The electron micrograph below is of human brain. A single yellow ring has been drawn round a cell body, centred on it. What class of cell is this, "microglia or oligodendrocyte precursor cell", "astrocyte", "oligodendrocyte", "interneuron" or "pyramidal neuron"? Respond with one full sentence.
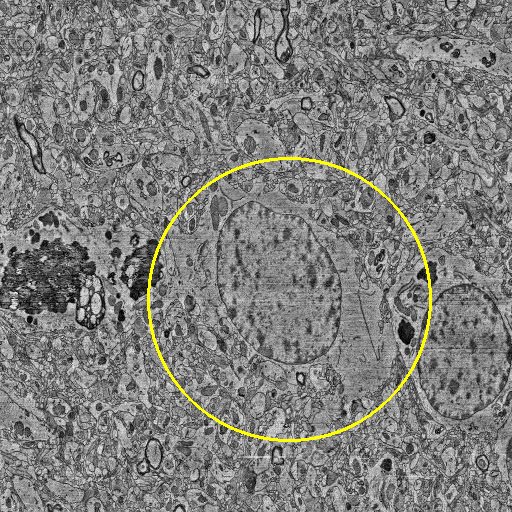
In the micrograph, the cell centred inside the yellow ring is an astrocyte.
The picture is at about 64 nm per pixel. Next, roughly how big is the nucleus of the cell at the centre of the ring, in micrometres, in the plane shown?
The nucleus measures about 11 by 8 micrometres in this plane.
